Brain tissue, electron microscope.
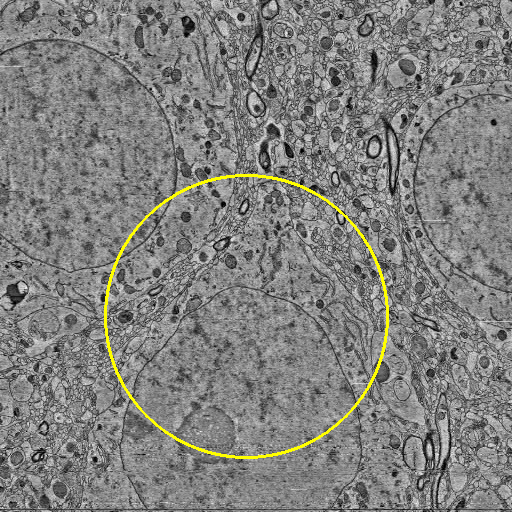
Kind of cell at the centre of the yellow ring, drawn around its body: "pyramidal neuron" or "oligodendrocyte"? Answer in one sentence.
The ring's centre falls on a pyramidal neuron.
